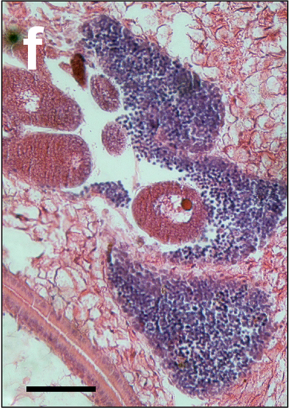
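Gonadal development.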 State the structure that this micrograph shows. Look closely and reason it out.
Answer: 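Mixed follicle. Large pink oocytes with a pale nucleus lie in the same follicle space as masses of small dark purple cells. The dark purple cell masses fill much of the follicle beside the oocytes.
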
